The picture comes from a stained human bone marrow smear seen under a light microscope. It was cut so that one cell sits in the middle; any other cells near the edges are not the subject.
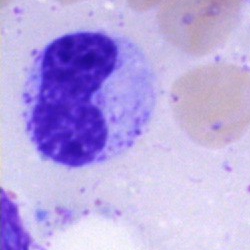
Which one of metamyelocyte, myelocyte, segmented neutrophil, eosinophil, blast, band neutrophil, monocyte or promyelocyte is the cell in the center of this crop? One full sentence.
The cell in the middle of this crop is a metamyelocyte.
